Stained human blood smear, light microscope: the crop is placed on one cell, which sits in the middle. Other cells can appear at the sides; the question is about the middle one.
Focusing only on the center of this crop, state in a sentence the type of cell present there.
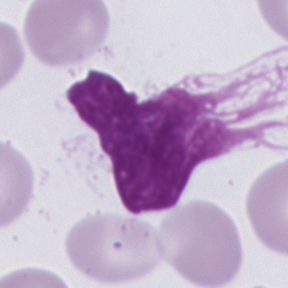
Framed in the middle of the crop is a smudge cell.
